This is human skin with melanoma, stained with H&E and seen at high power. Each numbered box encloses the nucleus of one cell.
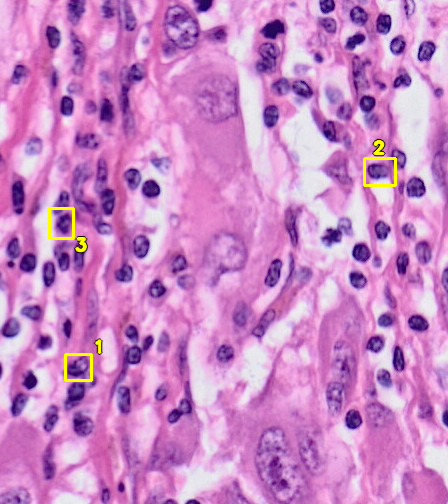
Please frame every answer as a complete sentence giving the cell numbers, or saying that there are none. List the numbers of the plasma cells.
The cells tagged with numbers 1 and 3 are plasma cells.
